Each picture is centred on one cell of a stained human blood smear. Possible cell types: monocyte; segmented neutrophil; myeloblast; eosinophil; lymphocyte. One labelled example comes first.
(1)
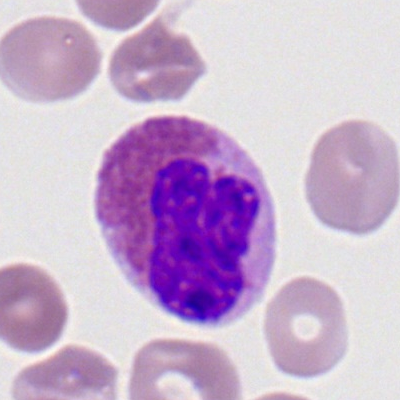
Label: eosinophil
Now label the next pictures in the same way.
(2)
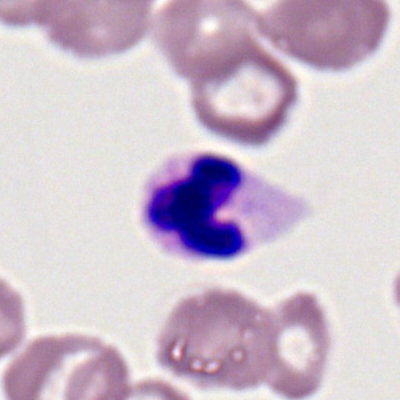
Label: segmented neutrophil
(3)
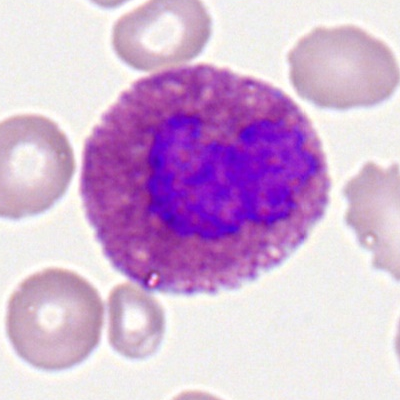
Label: eosinophil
